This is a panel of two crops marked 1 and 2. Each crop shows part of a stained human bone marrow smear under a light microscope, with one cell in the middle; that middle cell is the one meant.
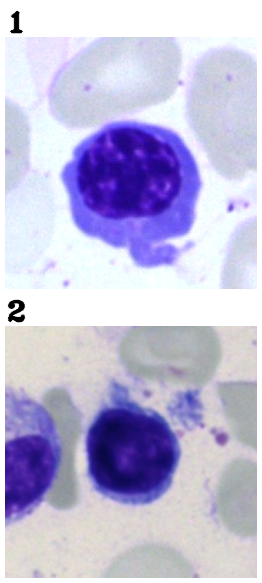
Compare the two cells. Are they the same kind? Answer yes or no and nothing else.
no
